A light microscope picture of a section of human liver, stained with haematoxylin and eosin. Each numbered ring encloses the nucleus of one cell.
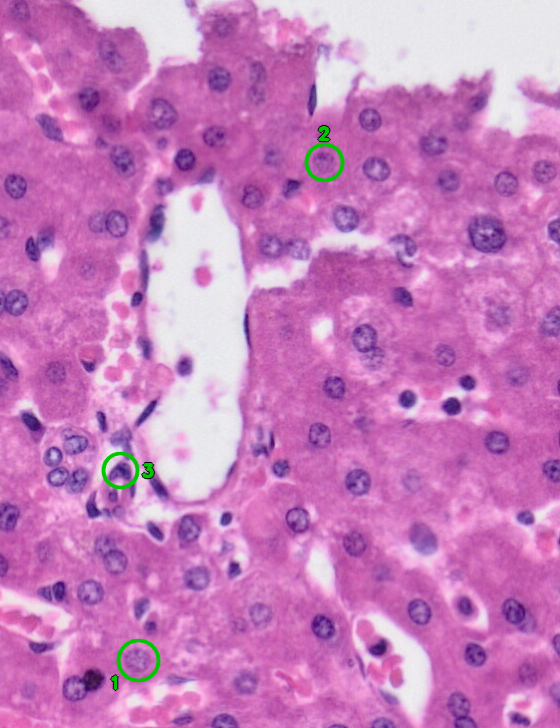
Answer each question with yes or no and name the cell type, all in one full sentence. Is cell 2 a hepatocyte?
Yes, the cell at marker 2 is a hepatocyte.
